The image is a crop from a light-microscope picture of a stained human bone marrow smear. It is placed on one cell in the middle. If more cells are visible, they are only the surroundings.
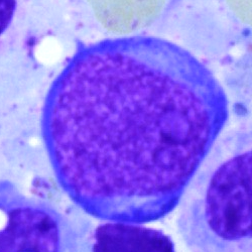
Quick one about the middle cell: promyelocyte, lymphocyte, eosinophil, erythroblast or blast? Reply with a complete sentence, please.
The middle cell in this particular crop is a blast.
